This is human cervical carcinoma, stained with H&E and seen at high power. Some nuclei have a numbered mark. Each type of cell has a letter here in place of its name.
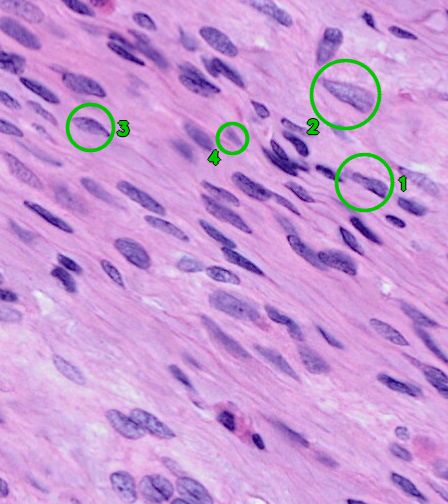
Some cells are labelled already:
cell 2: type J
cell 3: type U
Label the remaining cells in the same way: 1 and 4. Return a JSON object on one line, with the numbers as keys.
{"1": "type U", "4": "type U"}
